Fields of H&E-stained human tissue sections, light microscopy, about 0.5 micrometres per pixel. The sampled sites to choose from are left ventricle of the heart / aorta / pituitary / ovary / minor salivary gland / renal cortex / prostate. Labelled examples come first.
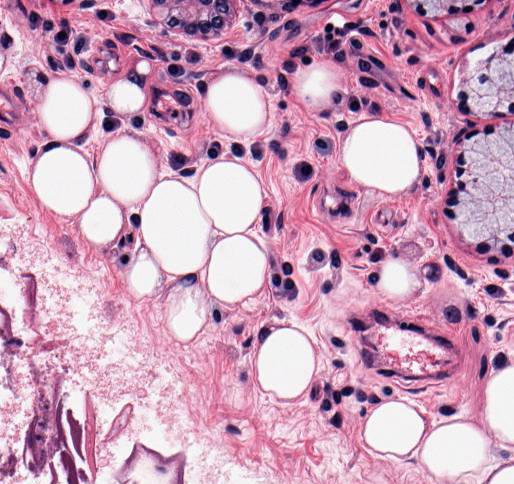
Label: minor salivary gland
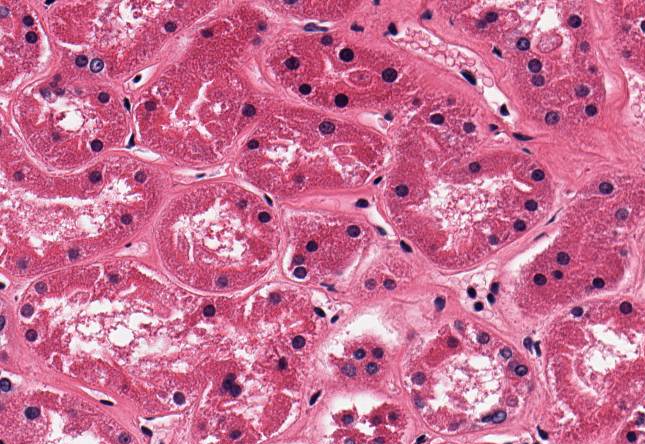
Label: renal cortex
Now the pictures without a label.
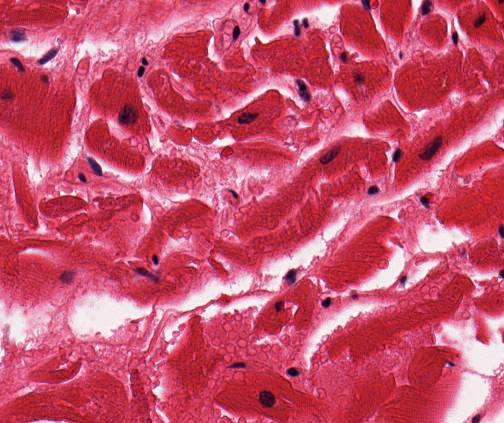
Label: left ventricle of the heart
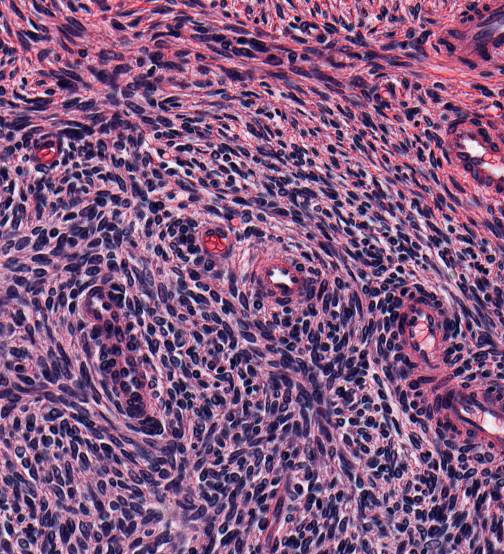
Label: ovary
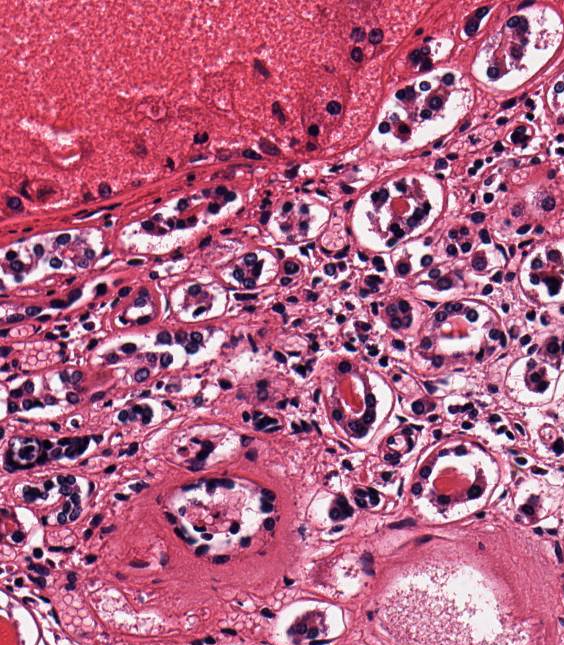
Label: renal cortex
